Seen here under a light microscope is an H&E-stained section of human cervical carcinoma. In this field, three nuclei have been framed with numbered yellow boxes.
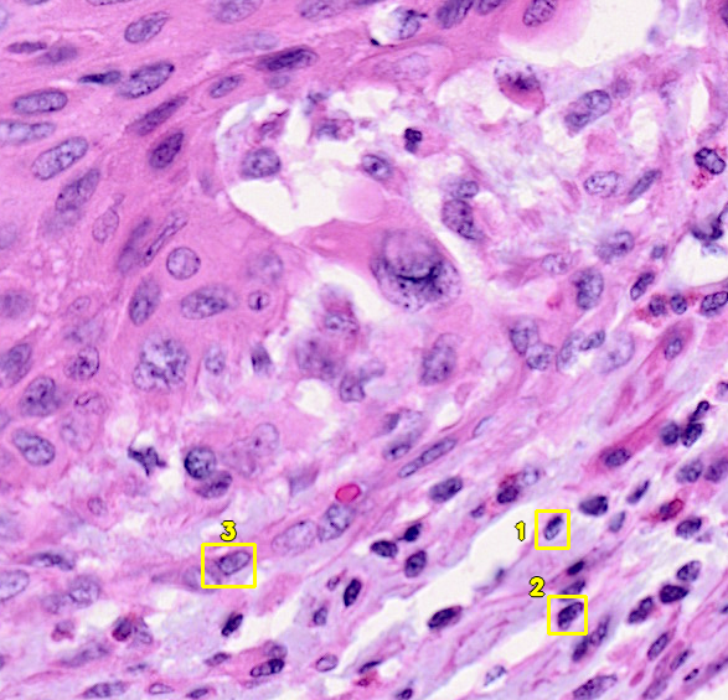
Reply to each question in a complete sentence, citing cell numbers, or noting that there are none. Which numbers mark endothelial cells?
The one cell that is an endothelial cell is cell 3, and no other.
